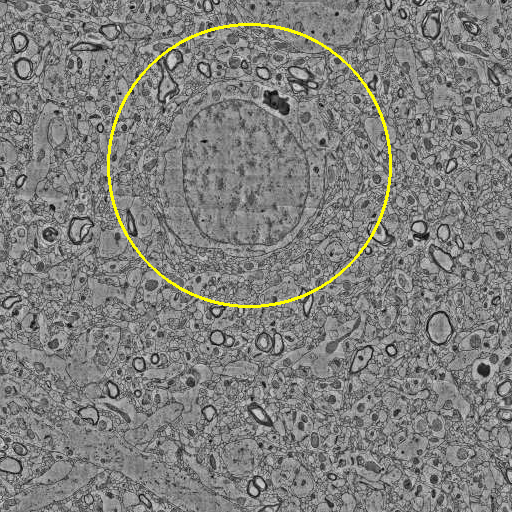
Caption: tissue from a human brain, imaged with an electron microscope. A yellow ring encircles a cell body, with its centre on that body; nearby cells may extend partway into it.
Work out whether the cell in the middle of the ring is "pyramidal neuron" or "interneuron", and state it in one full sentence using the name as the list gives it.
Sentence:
In the picture, the cell that the yellow ring surrounds at its centre is a pyramidal neuron.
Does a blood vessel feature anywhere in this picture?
No, none is visible.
